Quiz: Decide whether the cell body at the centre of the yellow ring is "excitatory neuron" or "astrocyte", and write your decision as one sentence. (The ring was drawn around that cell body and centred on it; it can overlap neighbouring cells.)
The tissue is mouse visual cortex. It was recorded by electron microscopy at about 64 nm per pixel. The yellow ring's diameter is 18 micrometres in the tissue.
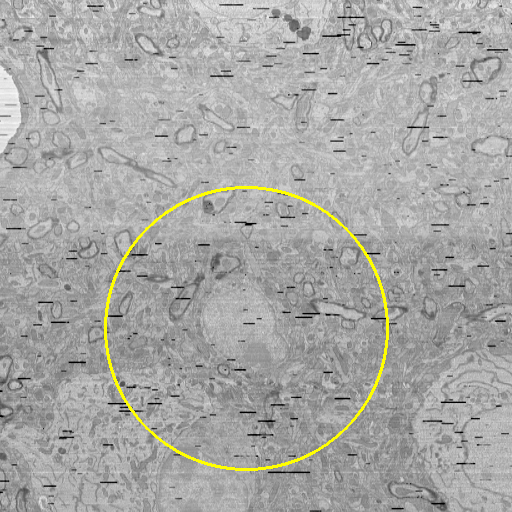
The cell the ring is centred on is an astrocyte.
